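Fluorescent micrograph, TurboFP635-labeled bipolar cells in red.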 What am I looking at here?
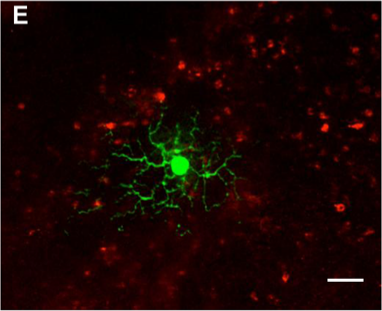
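This is a flat view of retina showing one green-filled ganglion cell lying over a field of small red cells. The ganglion cell has a bright round soma at the center, from which several primary dendrites branch repeatedly into a fine, radiating, roughly circular arbor. The dendrites are thin and beaded in places.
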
